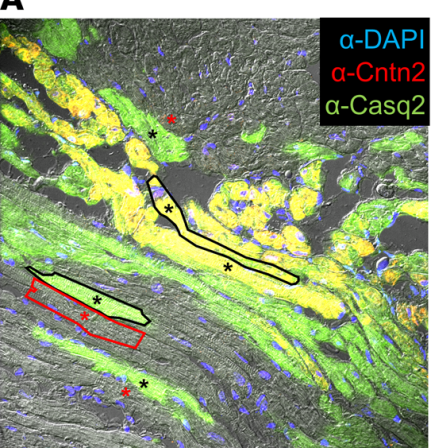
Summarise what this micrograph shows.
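This fluorescence image laid over a gray transmitted-light picture shows heart muscle where a strand of Purkinje cells runs diagonally through ventricular myocytes. The Purkinje cells form a band of yellow, elongated cells, one of which is traced by a long black outline. On either side lie striated ventricular myocytes, some filled with green and others showing only gray, with small blue nuclei scattered among them. At lower left a green myocyte and a gray myocyte of similar shape lie side by side, traced in black and red.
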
